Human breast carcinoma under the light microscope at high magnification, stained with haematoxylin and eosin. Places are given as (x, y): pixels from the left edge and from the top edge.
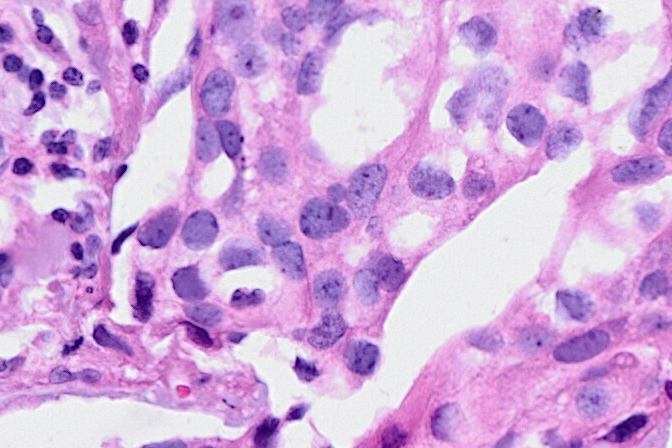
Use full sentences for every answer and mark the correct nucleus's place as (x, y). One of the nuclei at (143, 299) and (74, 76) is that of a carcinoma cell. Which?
The nucleus positioned at (143, 299) forms part of a carcinoma cell.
